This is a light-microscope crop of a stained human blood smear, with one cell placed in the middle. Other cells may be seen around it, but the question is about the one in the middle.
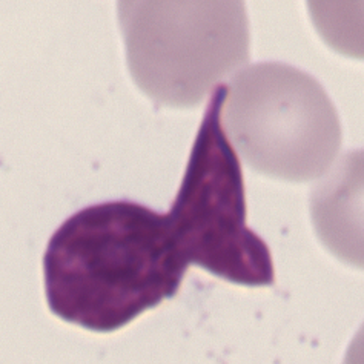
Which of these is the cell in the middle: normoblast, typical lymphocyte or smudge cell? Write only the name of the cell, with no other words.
smudge cell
